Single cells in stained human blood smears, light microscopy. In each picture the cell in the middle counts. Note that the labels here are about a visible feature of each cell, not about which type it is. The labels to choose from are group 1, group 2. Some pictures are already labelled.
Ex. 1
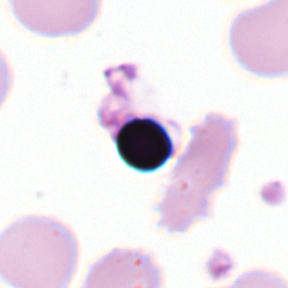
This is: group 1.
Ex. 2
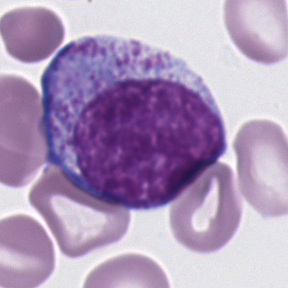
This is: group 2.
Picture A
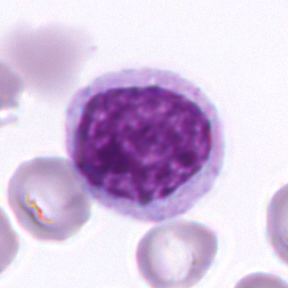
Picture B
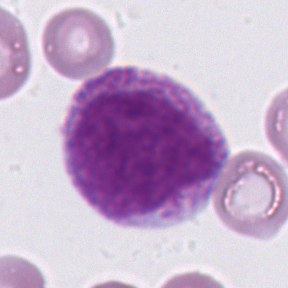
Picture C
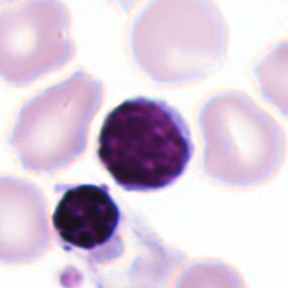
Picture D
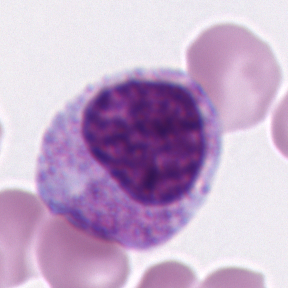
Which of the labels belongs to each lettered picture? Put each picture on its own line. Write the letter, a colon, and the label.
A: group 1.
B: group 1.
C: group 1.
D: group 2.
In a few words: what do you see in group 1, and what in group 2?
Seen in group 1: scant cytoplasm; seen in group 2: abundant cytoplasm.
